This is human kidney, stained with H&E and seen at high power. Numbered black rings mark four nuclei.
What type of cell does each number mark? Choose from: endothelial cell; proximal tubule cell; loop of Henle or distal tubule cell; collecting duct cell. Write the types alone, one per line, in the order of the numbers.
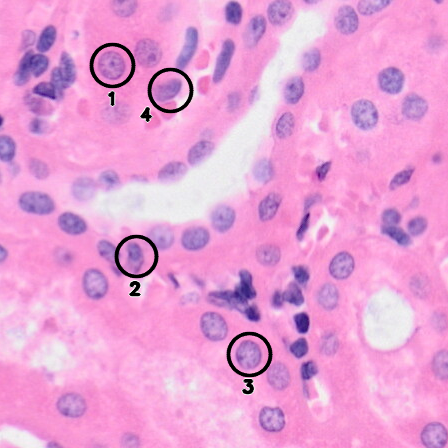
proximal tubule cell
collecting duct cell
proximal tubule cell
endothelial cell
